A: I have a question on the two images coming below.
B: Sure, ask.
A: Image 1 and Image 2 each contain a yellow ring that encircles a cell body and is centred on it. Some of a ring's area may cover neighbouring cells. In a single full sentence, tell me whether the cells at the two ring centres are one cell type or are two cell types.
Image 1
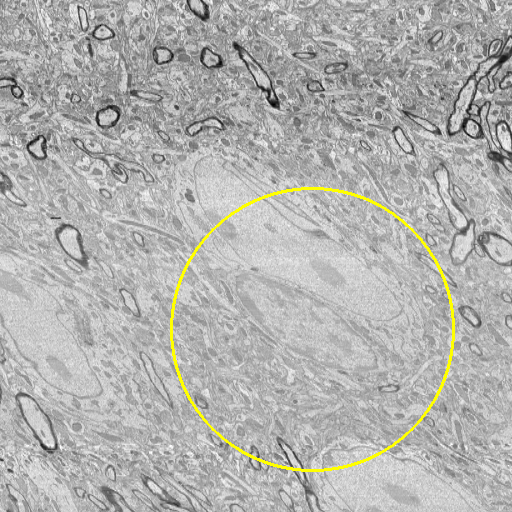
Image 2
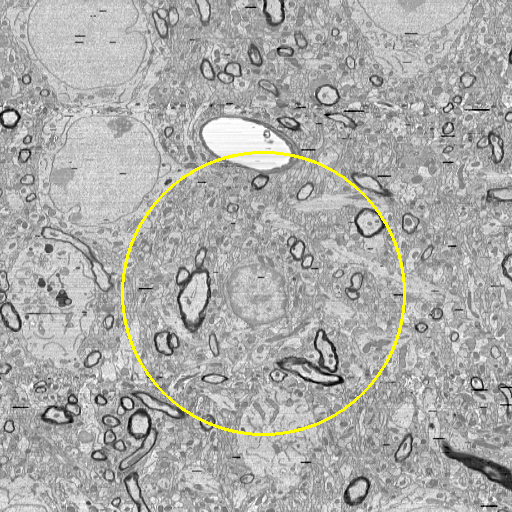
As for the ring-centre cells, the one in Image 1 and the one in Image 2 are one cell type.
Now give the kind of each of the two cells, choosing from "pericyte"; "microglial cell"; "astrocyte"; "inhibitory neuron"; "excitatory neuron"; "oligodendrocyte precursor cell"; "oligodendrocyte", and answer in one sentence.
Both cells are the same kind, each one being an oligodendrocyte.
